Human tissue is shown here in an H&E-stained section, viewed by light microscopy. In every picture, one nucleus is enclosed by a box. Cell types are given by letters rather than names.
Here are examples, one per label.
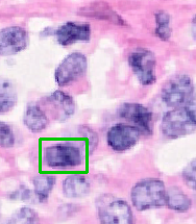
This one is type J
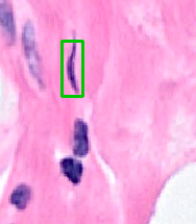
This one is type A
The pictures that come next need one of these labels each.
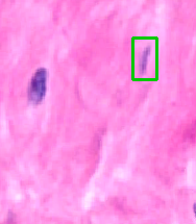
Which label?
type A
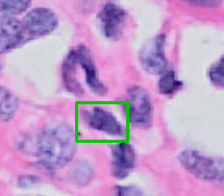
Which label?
type J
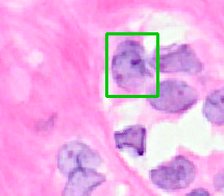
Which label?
type J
